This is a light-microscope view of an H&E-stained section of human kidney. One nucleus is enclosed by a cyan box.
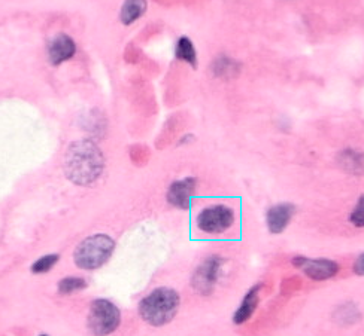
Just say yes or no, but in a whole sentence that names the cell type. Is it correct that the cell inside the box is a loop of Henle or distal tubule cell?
Yes, what the cell inside the box represents in this tissue is a loop of Henle or distal tubule cell.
